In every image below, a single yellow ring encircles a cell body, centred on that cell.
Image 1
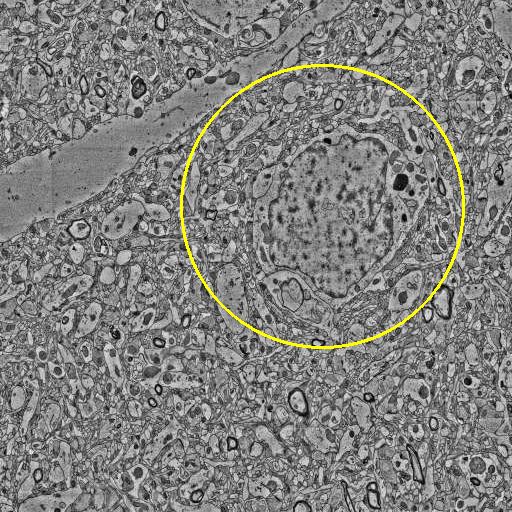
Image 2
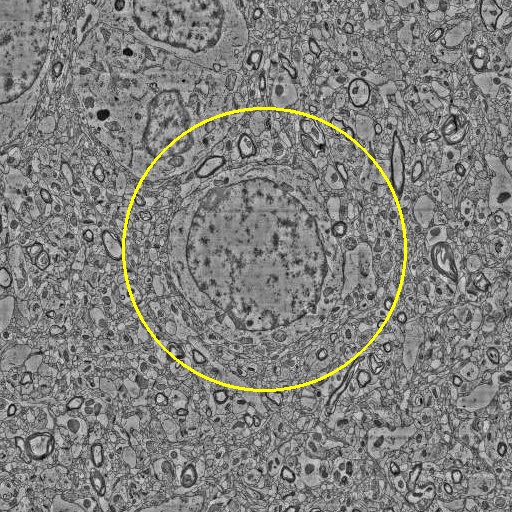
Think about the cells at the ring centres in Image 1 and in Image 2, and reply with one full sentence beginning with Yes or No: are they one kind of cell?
No, the cells centred in the rings of Image 1 and Image 2 are two kinds of cell.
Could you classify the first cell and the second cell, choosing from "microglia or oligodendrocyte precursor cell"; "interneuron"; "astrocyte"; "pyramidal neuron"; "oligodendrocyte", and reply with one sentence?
The second cell is a pyramidal neuron, while the first is an interneuron.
